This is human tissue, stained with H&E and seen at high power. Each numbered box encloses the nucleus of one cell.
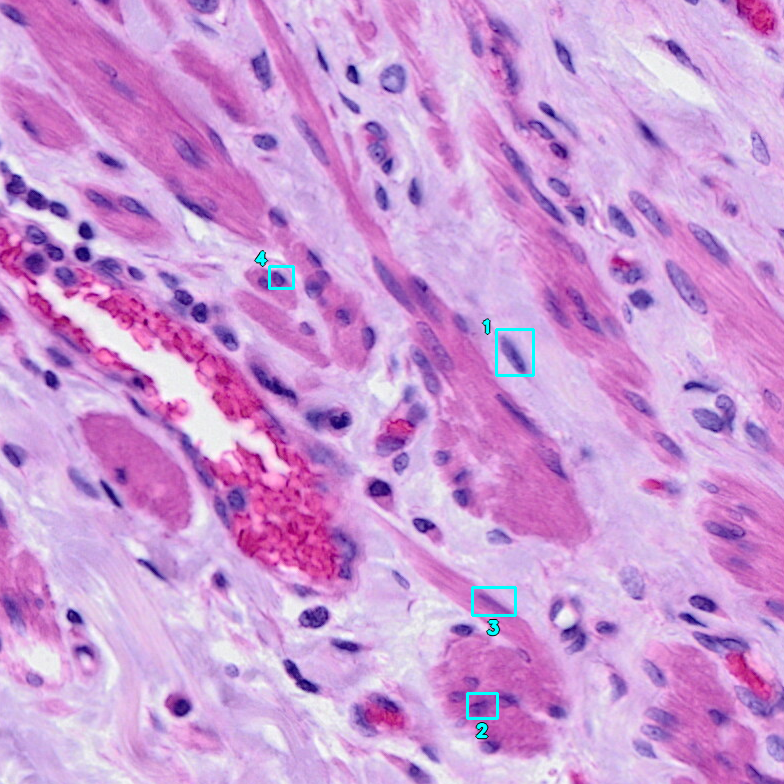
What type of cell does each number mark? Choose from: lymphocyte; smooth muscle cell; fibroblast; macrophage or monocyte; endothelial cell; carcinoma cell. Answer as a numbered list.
1. fibroblast
2. smooth muscle cell
3. smooth muscle cell
4. smooth muscle cell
